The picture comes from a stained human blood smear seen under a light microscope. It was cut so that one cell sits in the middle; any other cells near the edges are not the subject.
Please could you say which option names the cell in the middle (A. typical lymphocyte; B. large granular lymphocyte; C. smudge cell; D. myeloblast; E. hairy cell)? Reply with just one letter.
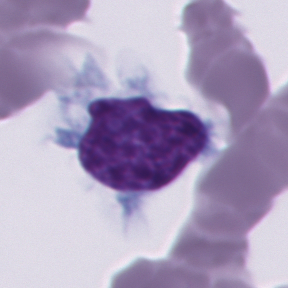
E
